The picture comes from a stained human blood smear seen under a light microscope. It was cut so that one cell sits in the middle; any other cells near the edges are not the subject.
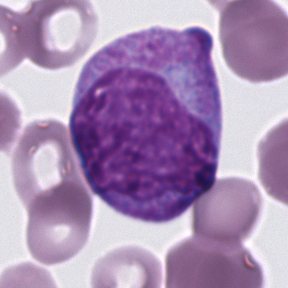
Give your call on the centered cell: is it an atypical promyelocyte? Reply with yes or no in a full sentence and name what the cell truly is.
Yes, in this crop the cell in the middle is an atypical promyelocyte.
